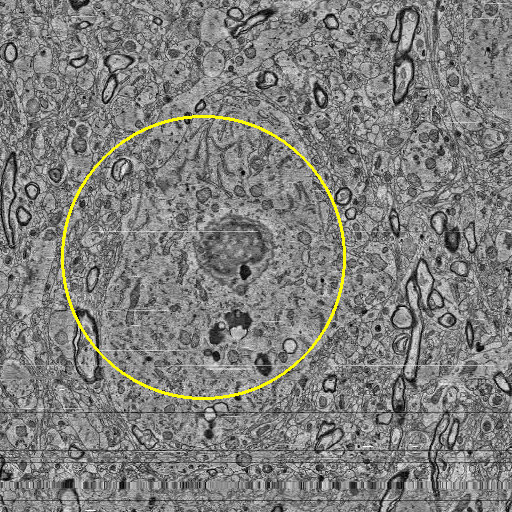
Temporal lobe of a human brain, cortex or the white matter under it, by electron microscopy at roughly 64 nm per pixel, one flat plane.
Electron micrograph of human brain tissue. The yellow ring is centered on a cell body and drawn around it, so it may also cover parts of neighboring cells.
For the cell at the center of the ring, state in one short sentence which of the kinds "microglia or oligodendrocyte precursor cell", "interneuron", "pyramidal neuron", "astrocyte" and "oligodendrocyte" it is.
This ring is centered on an oligodendrocyte.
